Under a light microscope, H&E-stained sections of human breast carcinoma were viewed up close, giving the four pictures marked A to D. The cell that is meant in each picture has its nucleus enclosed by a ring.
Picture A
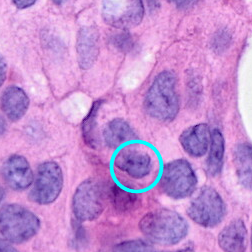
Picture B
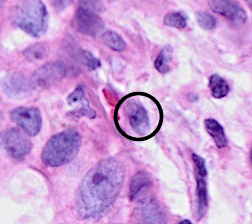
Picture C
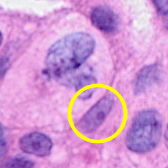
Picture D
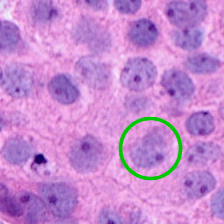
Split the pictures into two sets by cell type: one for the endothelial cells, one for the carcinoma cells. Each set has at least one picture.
A: carcinoma cell
B: endothelial cell
C: carcinoma cell
D: carcinoma cell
